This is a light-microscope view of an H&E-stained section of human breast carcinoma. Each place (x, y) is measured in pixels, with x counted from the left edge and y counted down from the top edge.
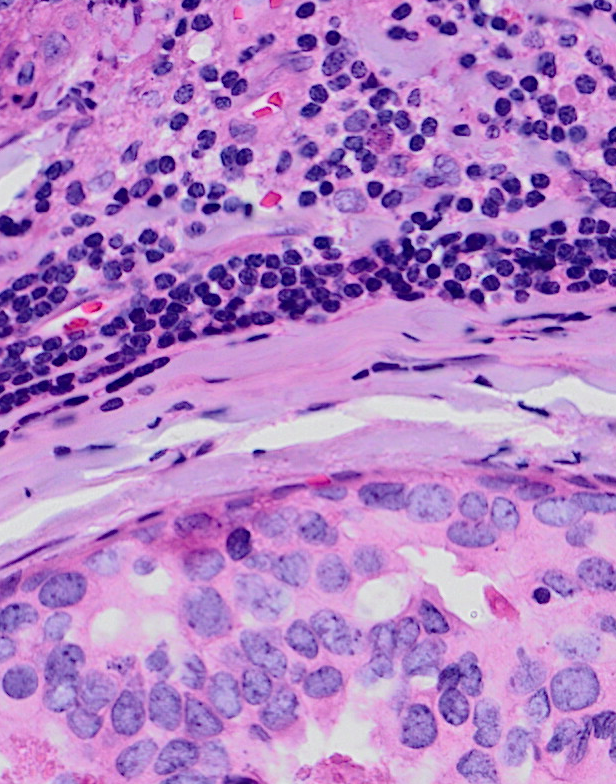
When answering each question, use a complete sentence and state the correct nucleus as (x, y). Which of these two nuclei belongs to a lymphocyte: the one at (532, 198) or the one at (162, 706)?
The nucleus at (532, 198) is the one of the two that belongs to a lymphocyte.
